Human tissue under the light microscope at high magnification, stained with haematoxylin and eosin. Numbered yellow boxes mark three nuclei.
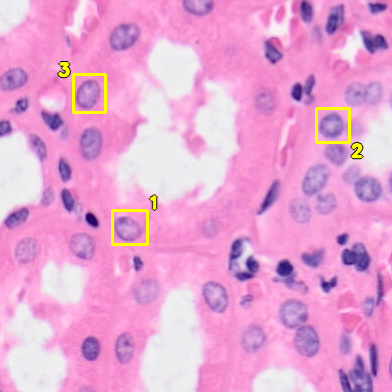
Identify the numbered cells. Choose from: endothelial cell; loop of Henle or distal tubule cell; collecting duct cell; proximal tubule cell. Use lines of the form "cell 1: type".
cell 1: proximal tubule cell
cell 2: collecting duct cell
cell 3: proximal tubule cell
